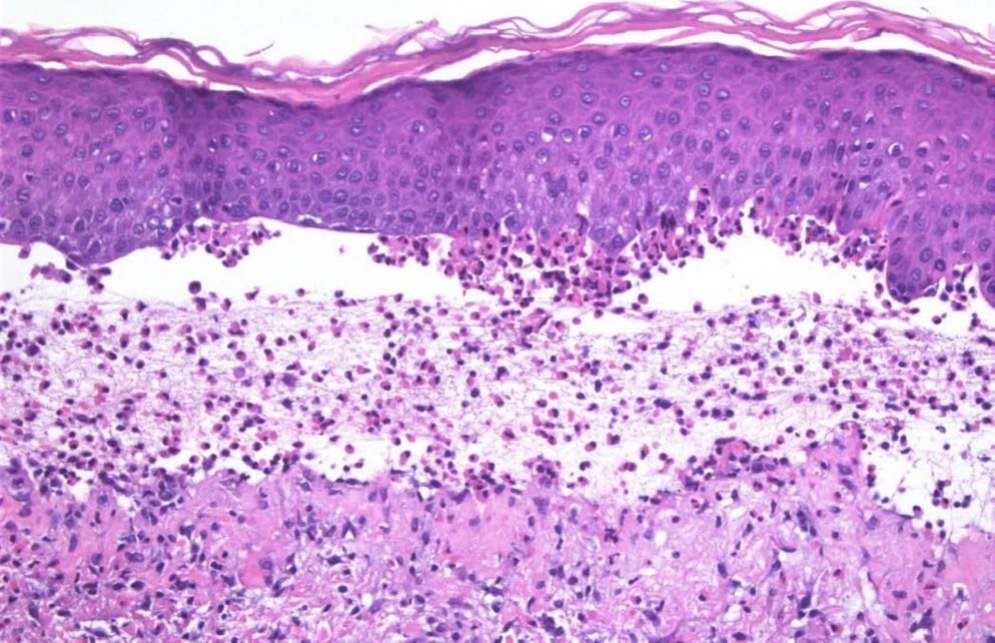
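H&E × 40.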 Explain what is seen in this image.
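This is skin in which the epidermis has separated from the dermis beneath it, leaving a blister cavity below the basal layer. The epidermis stays intact as a sheet of purple keratinocytes with a thin pink cornified layer on top. The cavity and the loose, pale upper dermis are filled with many inflammatory cells, and a large share of them are eosinophils with bright pink cytoplasm and lobed nuclei.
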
